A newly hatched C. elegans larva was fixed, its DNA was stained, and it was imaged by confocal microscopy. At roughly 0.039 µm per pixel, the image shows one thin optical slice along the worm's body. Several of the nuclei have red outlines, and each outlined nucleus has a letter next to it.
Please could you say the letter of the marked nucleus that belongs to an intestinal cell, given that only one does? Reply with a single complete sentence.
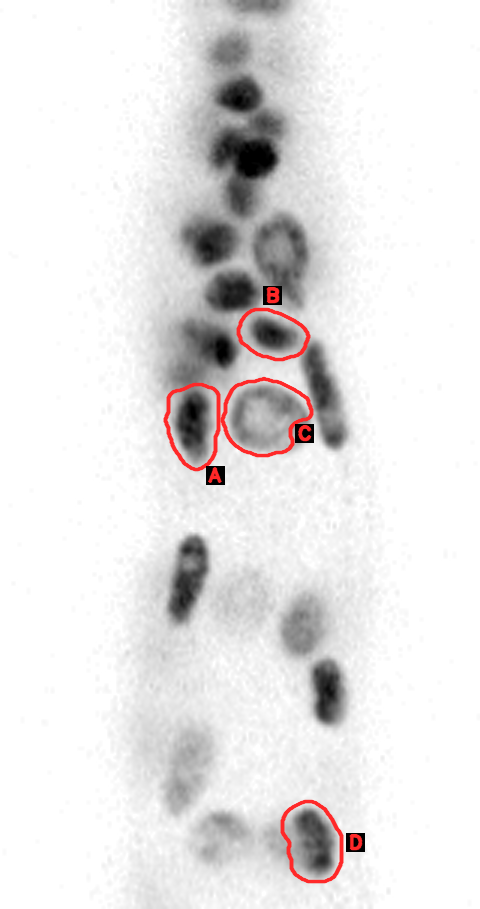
Nucleus C belongs to an intestinal cell.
